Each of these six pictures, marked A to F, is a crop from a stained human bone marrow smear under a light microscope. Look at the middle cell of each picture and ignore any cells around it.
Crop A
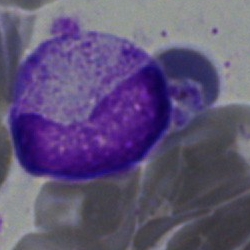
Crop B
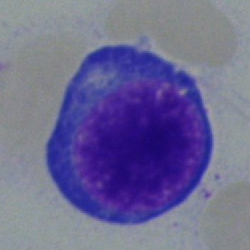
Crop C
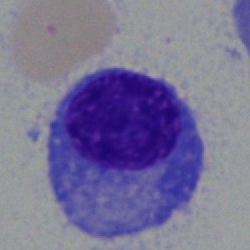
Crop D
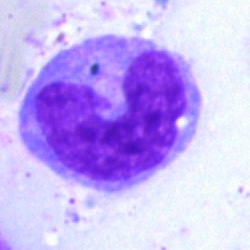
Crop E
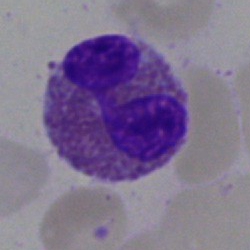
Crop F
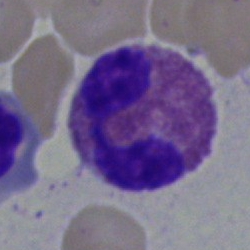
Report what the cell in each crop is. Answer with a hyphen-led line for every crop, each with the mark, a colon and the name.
- A: metamyelocyte
- B: proerythroblast
- C: plasma cell
- D: monocyte
- E: eosinophil
- F: eosinophil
